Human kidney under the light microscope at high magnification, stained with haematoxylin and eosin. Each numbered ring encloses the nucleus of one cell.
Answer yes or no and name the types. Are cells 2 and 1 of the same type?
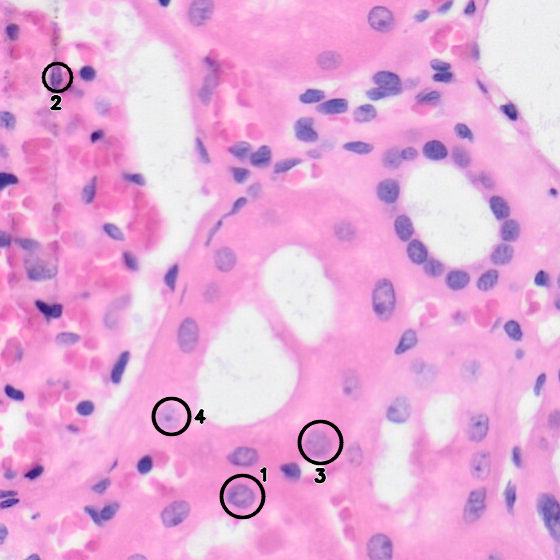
No, cell 2 is an endothelial cell, and cell 1, on the other hand, is a proximal tubule cell.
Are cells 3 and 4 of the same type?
Yes, that cells 3 and 4 are both proximal tubule cells holds true.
